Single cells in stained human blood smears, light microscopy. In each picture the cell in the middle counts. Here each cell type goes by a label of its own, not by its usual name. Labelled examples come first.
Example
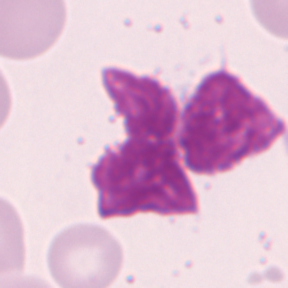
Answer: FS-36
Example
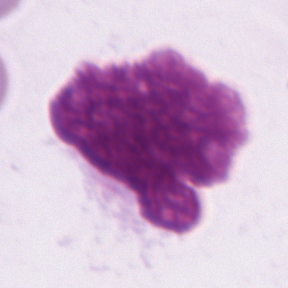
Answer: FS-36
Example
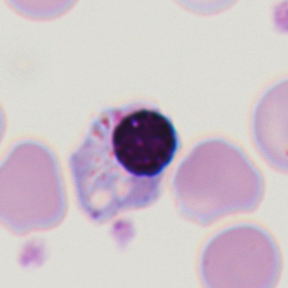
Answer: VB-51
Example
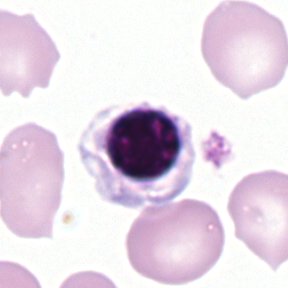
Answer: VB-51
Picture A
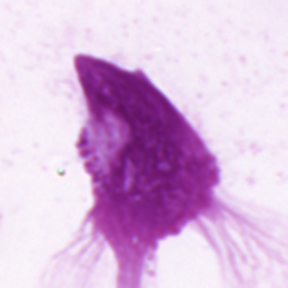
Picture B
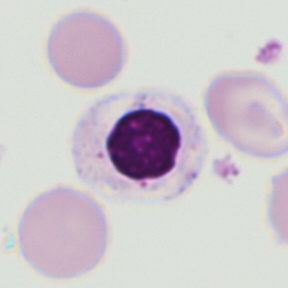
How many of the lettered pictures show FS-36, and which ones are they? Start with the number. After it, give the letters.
Count: 1 (A)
